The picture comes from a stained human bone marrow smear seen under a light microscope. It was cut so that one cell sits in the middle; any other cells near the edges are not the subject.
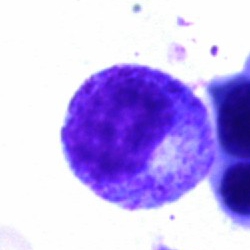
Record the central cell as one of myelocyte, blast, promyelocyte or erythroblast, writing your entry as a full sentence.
The cell in the middle of the field of view is a myelocyte.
